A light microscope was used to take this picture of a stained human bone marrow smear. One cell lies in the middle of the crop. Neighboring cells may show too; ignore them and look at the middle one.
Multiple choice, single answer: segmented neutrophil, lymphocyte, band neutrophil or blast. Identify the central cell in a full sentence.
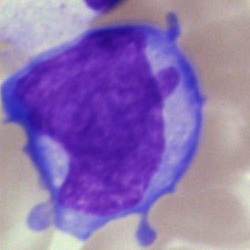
Framed in the middle of the crop is a blast.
